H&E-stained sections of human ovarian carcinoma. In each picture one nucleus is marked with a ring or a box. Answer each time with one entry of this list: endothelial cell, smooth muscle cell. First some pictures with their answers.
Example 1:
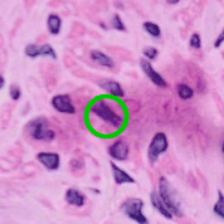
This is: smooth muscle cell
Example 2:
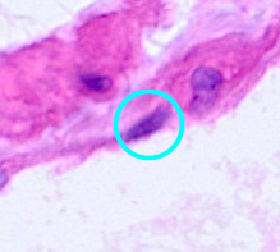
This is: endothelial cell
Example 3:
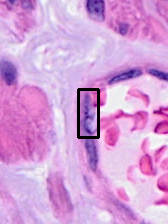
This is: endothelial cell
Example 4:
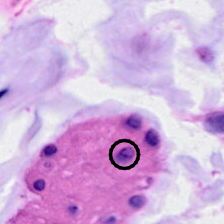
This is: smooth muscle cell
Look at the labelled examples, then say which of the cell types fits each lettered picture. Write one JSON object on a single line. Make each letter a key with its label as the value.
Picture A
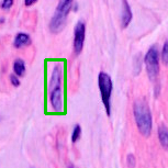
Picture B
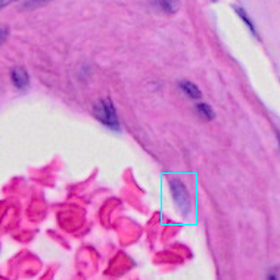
{"A": "smooth muscle cell", "B": "endothelial cell"}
